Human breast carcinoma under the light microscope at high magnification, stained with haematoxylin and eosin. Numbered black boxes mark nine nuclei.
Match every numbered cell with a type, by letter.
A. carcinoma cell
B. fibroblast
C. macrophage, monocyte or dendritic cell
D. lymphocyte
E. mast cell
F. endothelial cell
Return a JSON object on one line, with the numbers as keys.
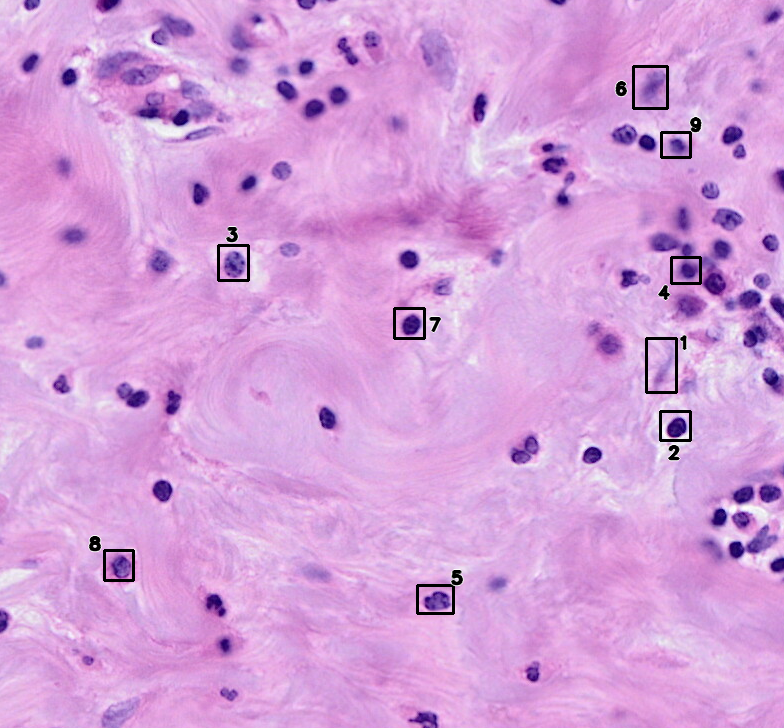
{"1": "B", "2": "D", "3": "E", "4": "D", "5": "D", "6": "B", "7": "D", "8": "E", "9": "D"}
